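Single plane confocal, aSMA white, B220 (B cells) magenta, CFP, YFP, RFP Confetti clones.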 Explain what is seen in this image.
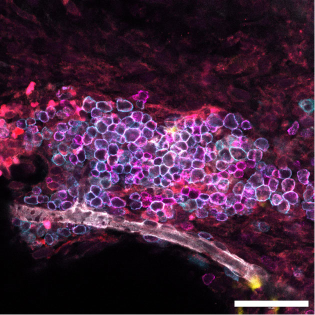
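The cells are small and round, tightly packed, each outlined by a magenta rim at the surface, many also with a cyan rim. The white band of a vessel wall runs along the lower left edge of the cluster. Few yellow or red cells are mixed in.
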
